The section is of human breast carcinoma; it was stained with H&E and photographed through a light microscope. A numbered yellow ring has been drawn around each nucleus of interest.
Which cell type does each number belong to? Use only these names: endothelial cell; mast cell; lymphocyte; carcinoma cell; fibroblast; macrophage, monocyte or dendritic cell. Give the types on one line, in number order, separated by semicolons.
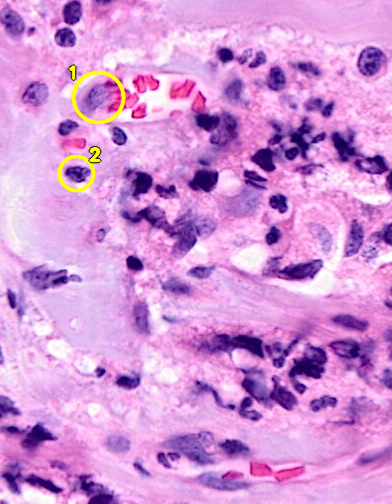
endothelial cell; lymphocyte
